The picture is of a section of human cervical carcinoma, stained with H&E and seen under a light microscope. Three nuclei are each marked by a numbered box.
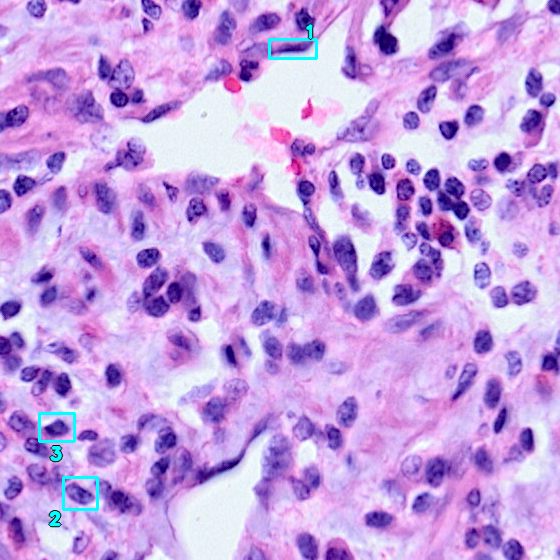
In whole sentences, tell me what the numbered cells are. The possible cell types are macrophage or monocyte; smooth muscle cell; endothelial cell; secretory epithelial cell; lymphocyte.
Cell 1 is an endothelial cell. Cells 2 and 3 are lymphocytes.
